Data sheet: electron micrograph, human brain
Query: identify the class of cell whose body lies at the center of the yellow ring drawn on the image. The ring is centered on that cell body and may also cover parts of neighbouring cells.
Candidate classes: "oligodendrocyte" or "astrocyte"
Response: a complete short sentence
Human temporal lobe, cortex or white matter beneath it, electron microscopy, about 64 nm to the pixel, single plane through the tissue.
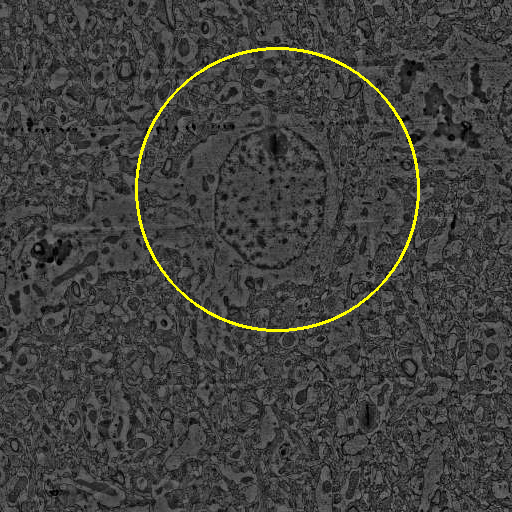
At the center of the ring lies an astrocyte.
